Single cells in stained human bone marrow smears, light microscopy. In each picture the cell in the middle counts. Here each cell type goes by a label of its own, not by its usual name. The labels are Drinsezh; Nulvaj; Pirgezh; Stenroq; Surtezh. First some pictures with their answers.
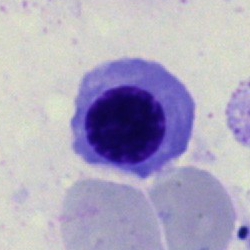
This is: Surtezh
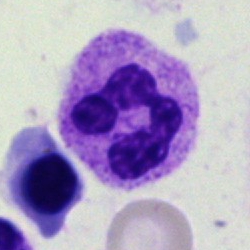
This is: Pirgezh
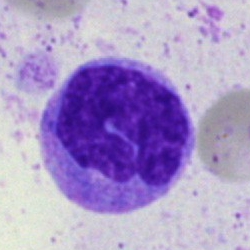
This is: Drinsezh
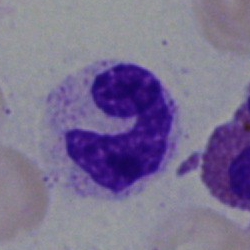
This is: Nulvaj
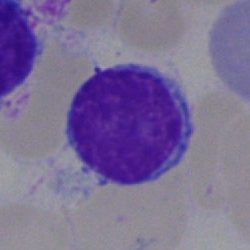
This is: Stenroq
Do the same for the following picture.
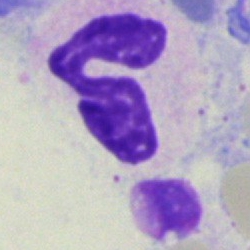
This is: Pirgezh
